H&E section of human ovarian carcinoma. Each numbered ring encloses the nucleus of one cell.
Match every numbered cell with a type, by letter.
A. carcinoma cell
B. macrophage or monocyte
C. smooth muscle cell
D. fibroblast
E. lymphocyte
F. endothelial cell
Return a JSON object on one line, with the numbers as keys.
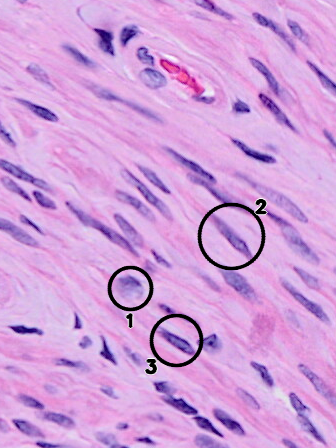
{"1": "D", "2": "C", "3": "C"}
